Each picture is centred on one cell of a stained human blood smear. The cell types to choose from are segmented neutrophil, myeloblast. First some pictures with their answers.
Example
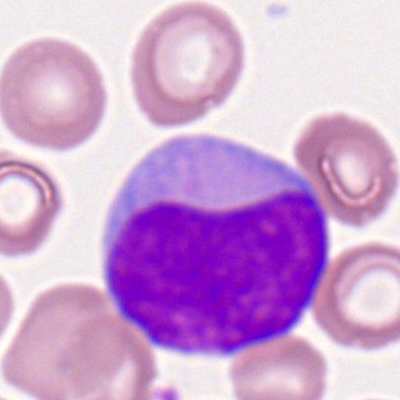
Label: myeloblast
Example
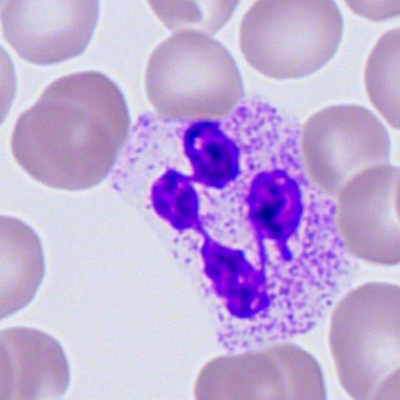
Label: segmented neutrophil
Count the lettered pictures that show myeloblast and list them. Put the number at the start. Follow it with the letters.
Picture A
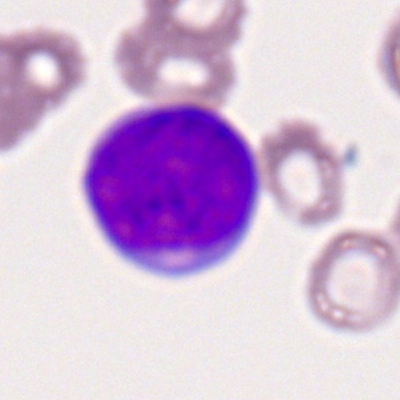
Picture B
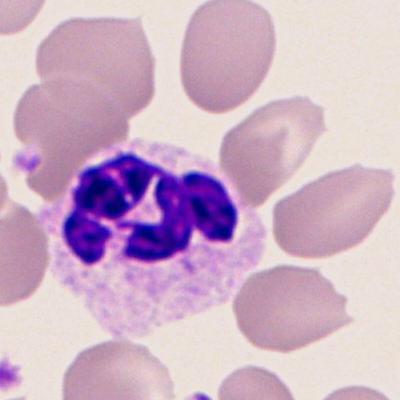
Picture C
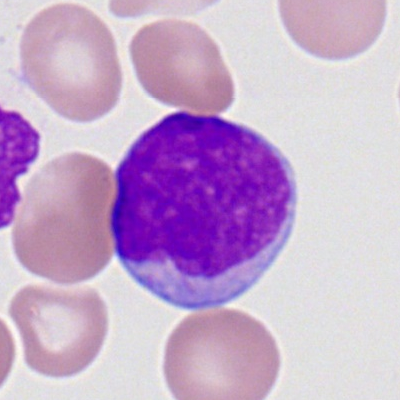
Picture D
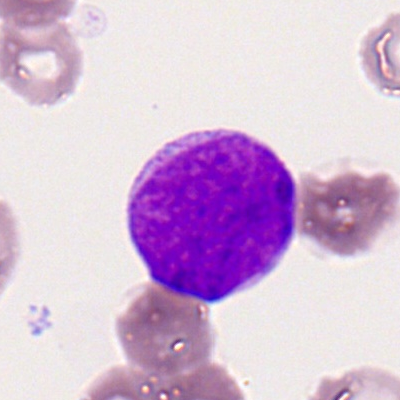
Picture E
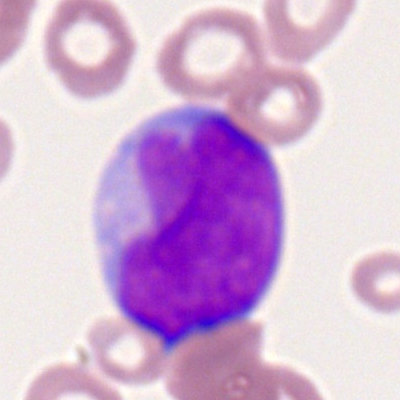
Count: 4 (A, C, D, E)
